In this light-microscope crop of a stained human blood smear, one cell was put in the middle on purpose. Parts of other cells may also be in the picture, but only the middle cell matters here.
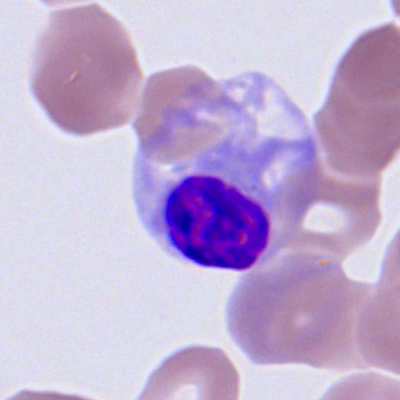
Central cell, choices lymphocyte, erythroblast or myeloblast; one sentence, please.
The cell shown in the center of this light-microscope crop is an erythroblast.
